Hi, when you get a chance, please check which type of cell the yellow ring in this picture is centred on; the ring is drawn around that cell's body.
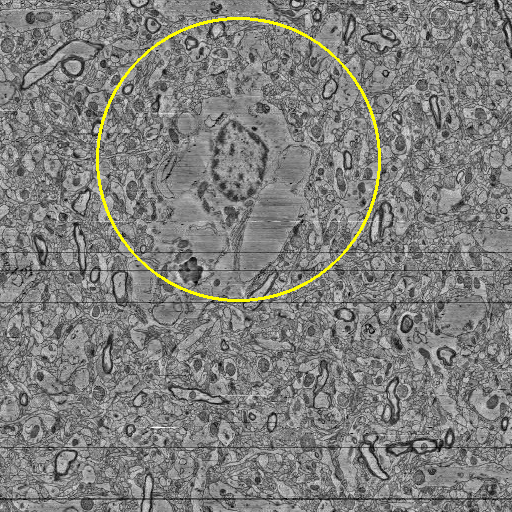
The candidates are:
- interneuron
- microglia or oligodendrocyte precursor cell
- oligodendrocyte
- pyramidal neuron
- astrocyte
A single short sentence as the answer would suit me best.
The ring is drawn around the body of an astrocyte.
